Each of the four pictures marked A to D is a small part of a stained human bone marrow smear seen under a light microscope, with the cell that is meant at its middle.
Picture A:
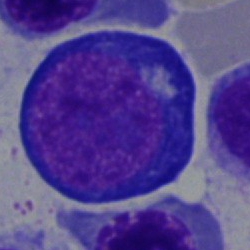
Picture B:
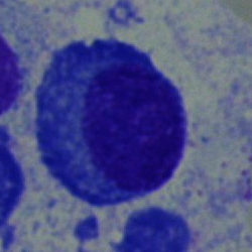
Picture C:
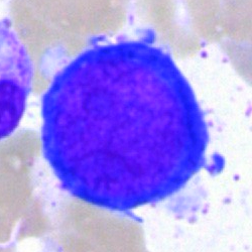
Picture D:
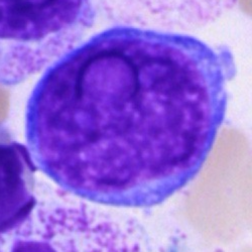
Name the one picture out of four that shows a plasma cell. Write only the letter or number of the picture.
B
